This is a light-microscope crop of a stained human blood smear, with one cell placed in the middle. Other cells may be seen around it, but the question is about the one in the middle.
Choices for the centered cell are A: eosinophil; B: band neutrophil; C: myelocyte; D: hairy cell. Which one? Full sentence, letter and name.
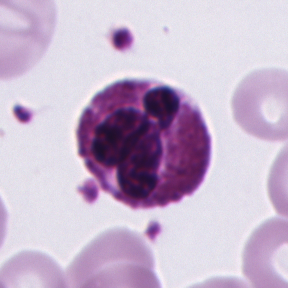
Option A gives the correct identity of the central cell, namely an eosinophil.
